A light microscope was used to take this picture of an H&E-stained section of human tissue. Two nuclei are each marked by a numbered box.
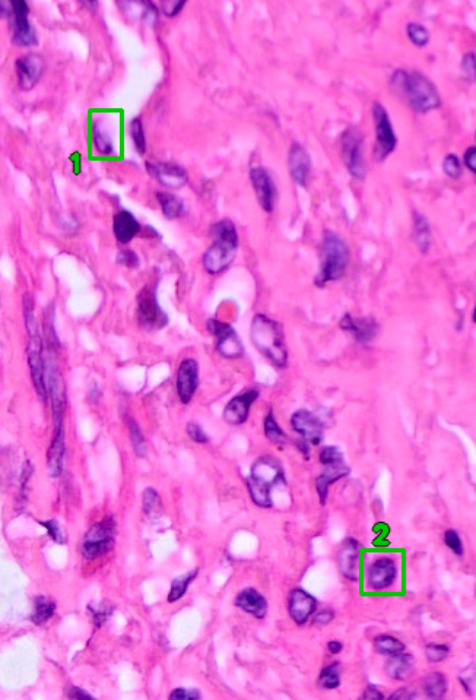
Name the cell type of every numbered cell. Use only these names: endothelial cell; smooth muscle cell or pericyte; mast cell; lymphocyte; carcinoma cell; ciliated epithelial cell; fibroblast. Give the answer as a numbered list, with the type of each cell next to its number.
1. endothelial cell
2. mast cell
